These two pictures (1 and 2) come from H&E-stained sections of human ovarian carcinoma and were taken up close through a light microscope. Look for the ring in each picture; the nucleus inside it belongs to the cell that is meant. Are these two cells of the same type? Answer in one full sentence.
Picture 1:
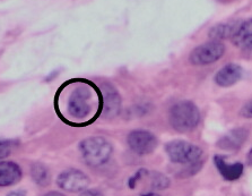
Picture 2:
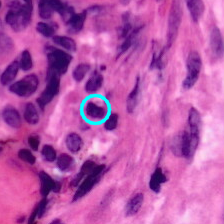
Yes, both cells are “macrophages or monocytes”.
